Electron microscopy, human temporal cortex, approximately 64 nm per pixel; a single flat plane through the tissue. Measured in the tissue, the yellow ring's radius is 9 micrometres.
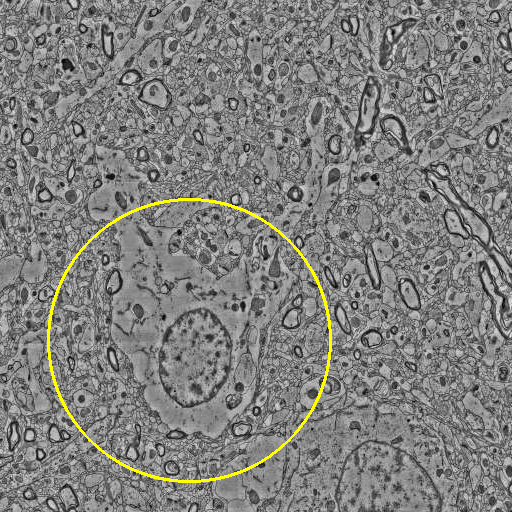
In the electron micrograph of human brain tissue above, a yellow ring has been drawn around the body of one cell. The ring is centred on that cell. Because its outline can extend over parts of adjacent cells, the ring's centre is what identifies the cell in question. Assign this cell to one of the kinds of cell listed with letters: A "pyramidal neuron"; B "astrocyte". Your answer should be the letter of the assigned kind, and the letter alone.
B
